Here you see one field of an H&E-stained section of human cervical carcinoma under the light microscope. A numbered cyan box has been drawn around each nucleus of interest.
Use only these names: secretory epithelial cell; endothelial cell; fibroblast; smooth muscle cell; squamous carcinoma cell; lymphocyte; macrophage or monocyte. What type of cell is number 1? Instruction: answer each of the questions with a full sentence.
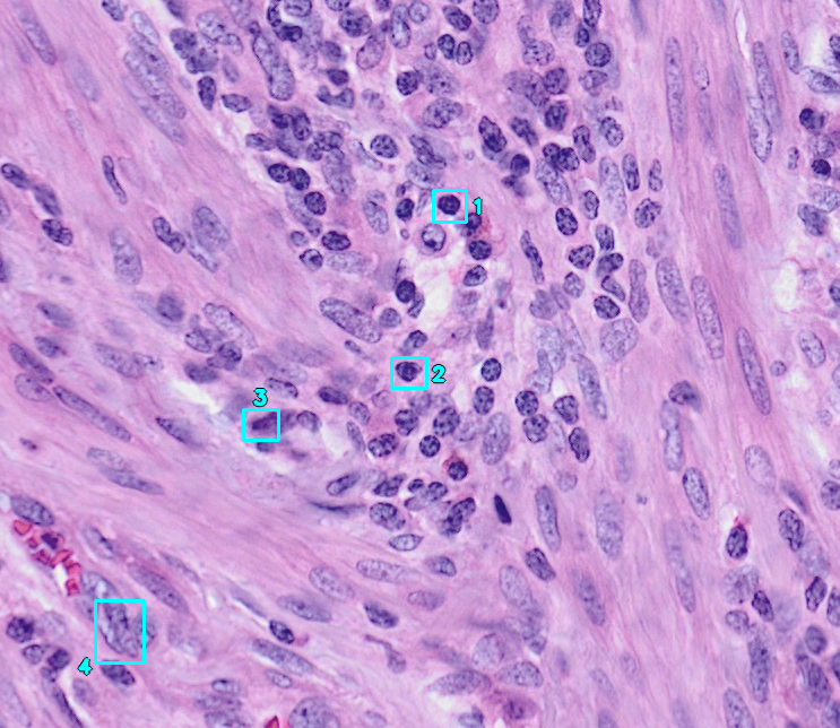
The cell with the number 1 is a lymphocyte.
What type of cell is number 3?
Cell 3 in the field of view is a lymphocyte.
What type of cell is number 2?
Corresponding to a lymphocyte is the cell labelled 2.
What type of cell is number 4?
Denoted by the label 4 in the section is an endothelial cell.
